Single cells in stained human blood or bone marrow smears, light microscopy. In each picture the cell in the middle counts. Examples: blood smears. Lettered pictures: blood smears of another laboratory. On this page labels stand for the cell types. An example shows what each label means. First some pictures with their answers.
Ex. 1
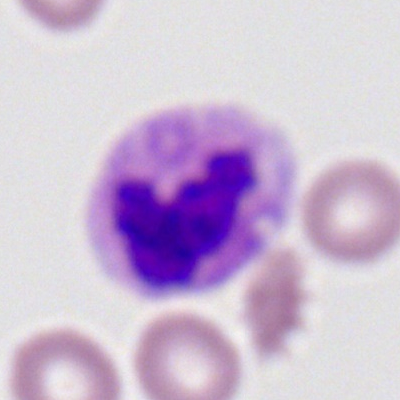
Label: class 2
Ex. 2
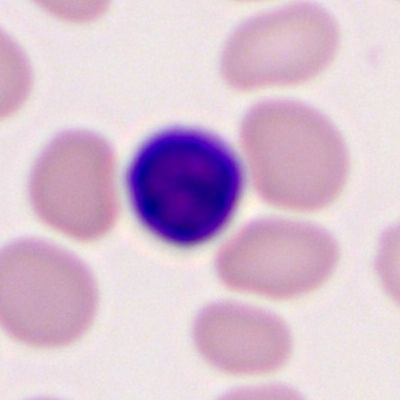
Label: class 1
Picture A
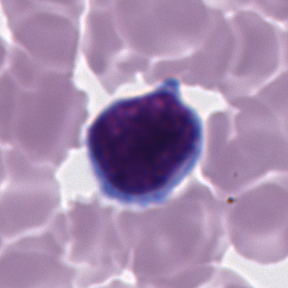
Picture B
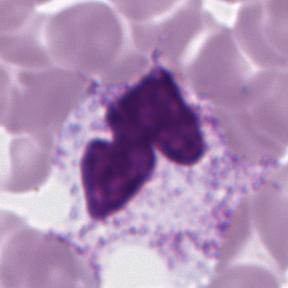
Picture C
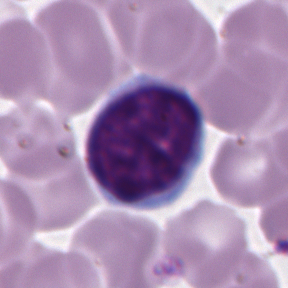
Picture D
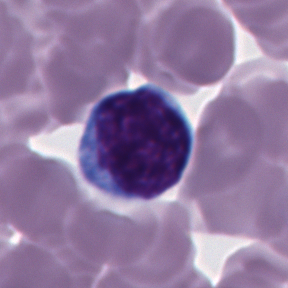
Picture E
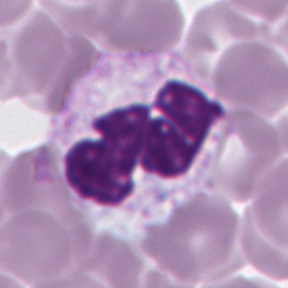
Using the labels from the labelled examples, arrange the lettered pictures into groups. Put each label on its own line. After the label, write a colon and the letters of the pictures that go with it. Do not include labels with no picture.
class 2: B, E
class 1: A, C, D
